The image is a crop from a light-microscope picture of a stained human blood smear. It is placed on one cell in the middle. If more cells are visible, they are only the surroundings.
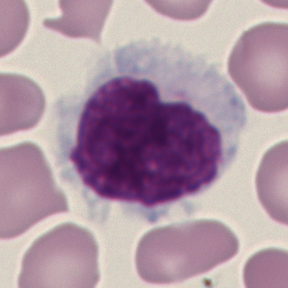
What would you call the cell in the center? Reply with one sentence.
Where the crop is centred, there is a hairy cell.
